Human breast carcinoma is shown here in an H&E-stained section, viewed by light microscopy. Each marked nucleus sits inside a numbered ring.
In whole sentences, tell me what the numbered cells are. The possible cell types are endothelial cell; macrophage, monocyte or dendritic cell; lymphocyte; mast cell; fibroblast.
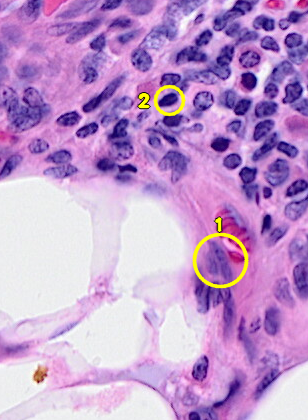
Cell 1 is an endothelial cell. Cell 2 is a lymphocyte.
